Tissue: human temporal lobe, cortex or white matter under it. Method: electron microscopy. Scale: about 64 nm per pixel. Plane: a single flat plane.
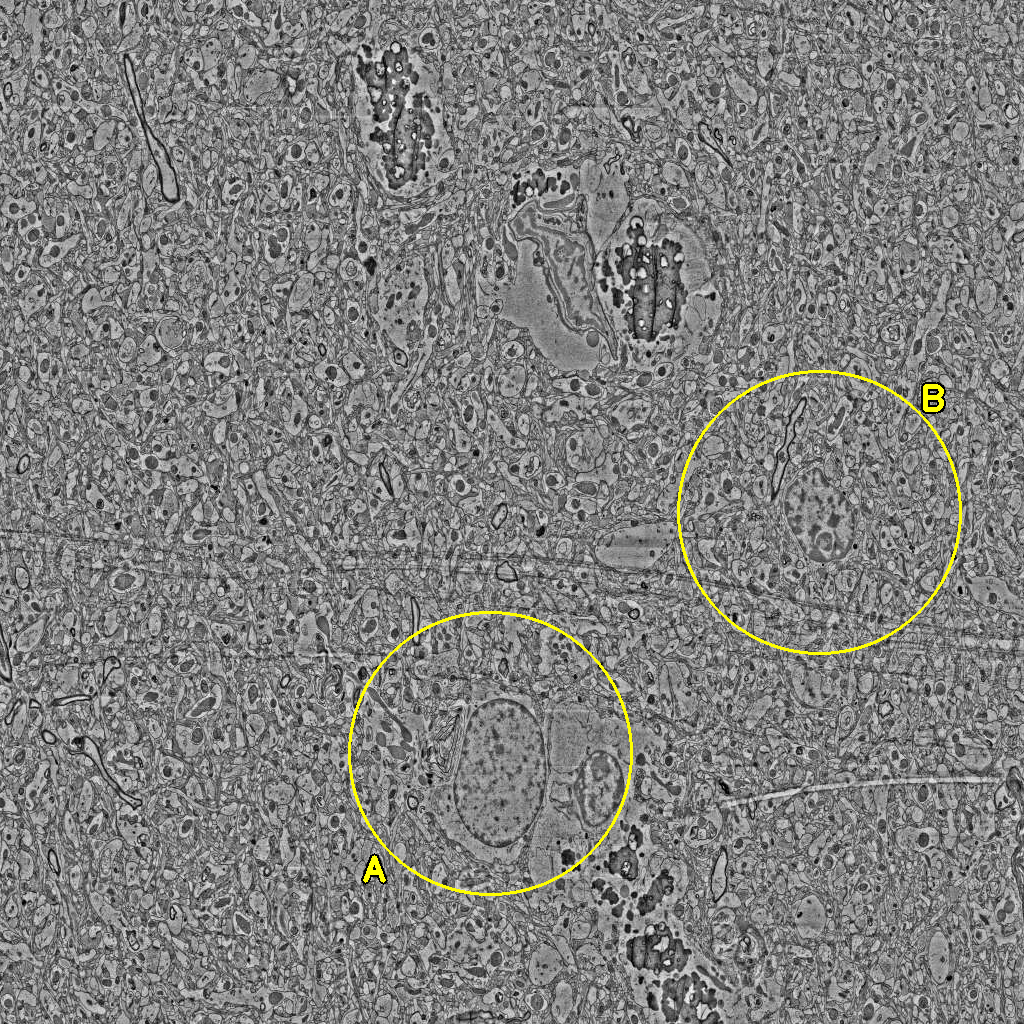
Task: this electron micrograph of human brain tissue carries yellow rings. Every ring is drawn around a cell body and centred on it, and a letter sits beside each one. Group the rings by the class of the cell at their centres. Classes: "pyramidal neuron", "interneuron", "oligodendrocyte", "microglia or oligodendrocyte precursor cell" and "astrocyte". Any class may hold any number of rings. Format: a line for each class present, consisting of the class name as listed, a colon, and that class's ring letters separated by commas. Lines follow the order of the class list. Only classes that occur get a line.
microglia or oligodendrocyte precursor cell: B
astrocyte: A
